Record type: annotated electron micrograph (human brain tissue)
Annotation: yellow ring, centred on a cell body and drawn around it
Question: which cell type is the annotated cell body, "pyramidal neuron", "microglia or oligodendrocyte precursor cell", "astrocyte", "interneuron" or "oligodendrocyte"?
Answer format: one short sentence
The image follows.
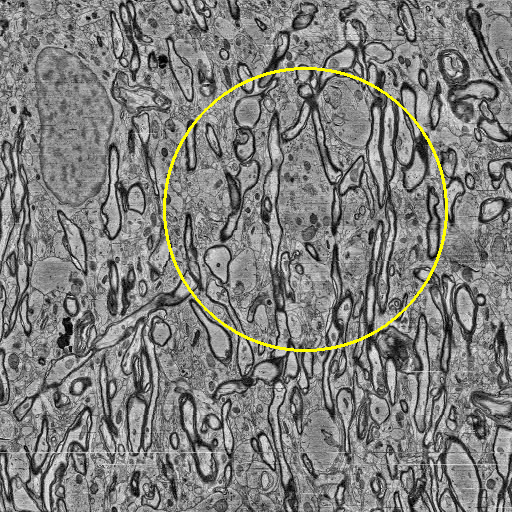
The annotated cell body is that of an oligodendrocyte.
